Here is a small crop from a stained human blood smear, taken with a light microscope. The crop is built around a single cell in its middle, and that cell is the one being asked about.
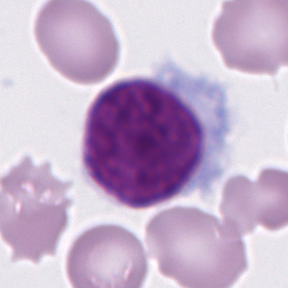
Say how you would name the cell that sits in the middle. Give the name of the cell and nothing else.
hairy cell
